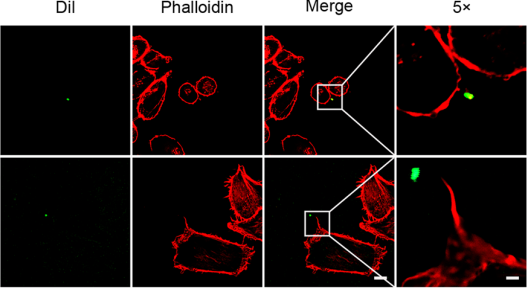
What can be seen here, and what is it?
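In the upper row the cells are scattered and some are small and rounded. In the lower row the cells are flatter and more spread, and red fibre-like streaks cross their bodies. Only single small green dots are seen, lying near or at the cell edges.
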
